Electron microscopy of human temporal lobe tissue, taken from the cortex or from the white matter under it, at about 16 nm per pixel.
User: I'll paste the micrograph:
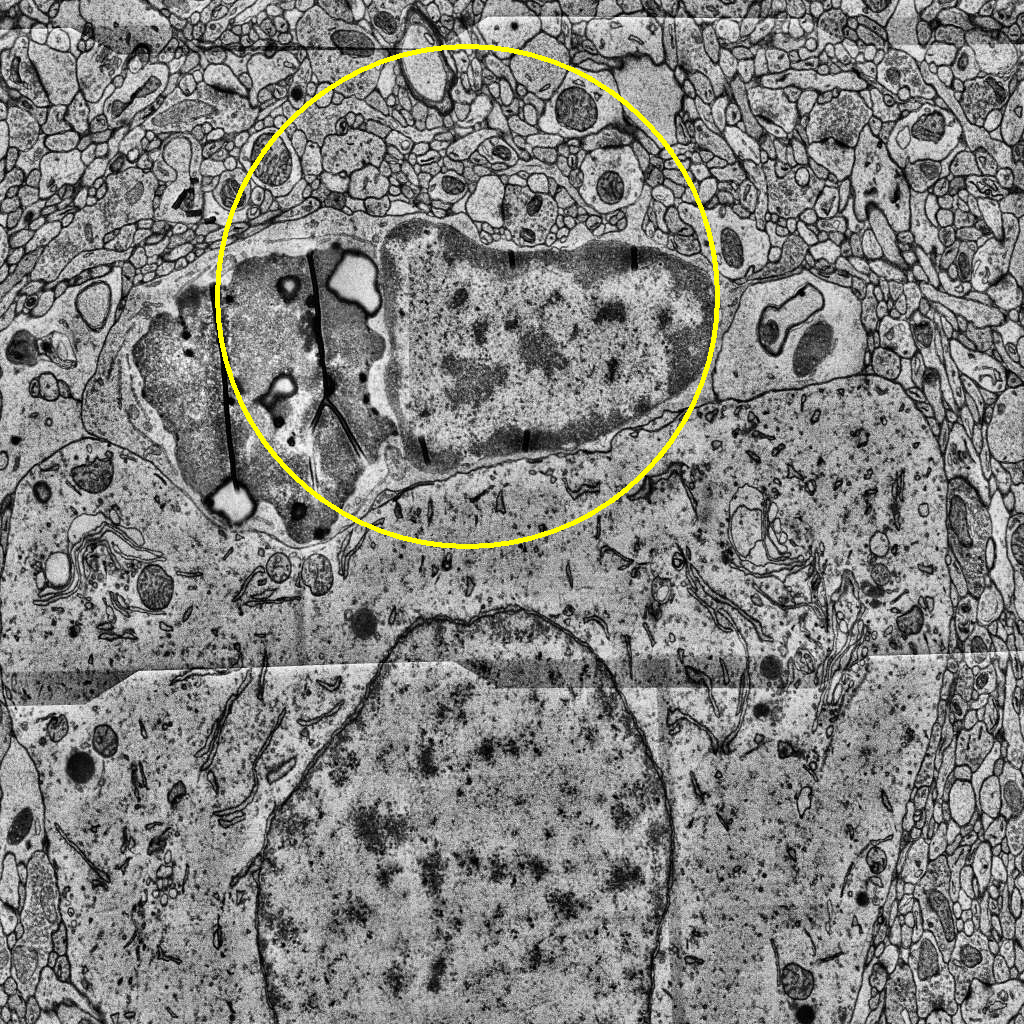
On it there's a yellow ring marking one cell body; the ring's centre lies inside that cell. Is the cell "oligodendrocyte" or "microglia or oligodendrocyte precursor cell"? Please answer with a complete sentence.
The cell at the centre of the yellow ring is a microglial cell or oligodendrocyte precursor cell.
